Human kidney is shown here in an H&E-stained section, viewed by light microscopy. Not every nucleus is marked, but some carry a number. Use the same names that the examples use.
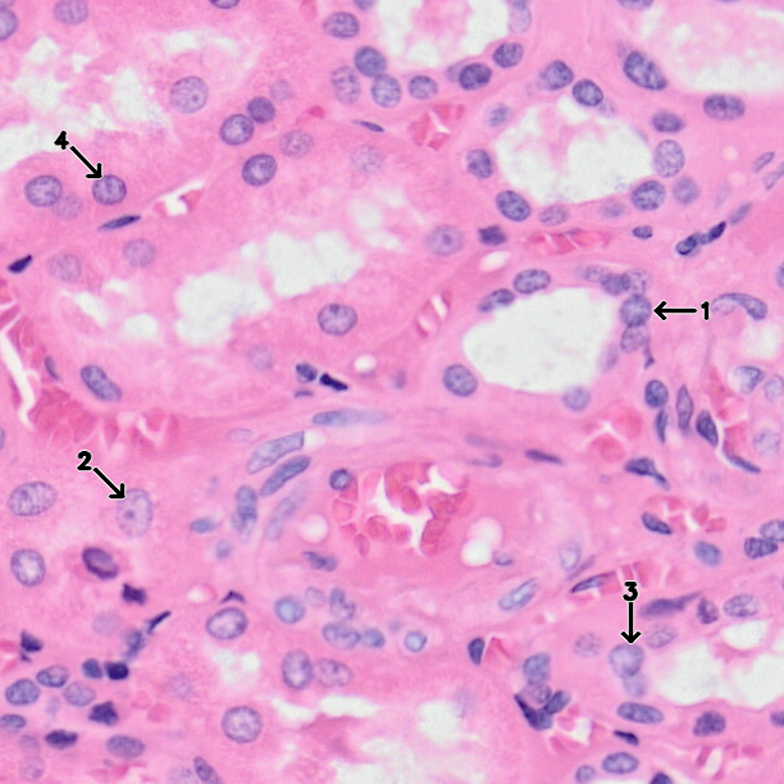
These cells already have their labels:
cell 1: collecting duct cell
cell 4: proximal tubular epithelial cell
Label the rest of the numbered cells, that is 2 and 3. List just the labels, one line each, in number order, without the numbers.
proximal tubular epithelial cell
collecting duct cell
